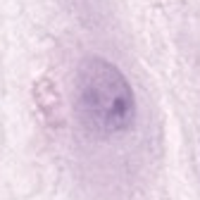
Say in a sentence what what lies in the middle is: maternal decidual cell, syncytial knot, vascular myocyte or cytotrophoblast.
This is a maternal decidual cell.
